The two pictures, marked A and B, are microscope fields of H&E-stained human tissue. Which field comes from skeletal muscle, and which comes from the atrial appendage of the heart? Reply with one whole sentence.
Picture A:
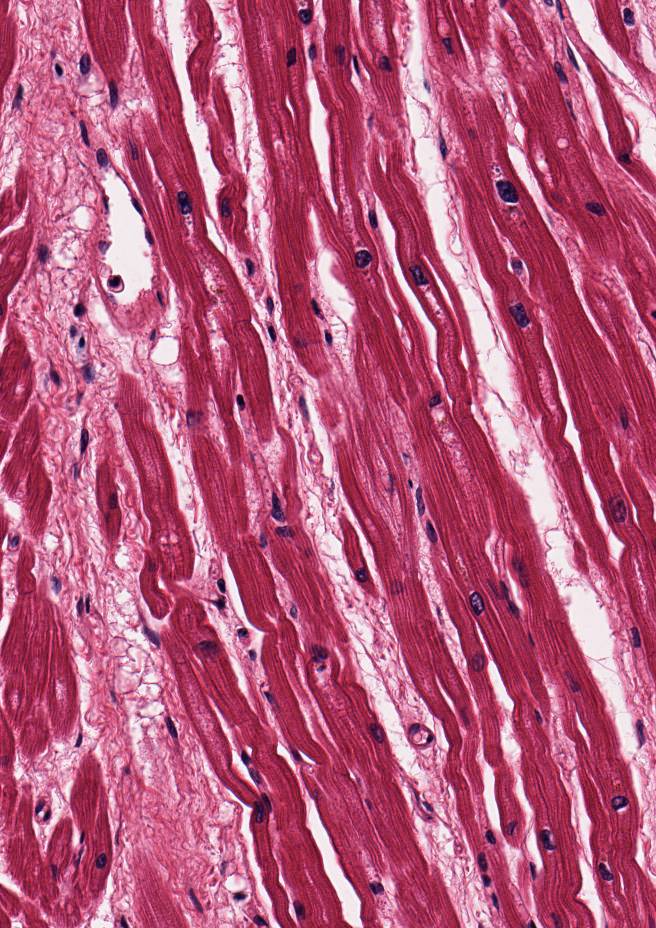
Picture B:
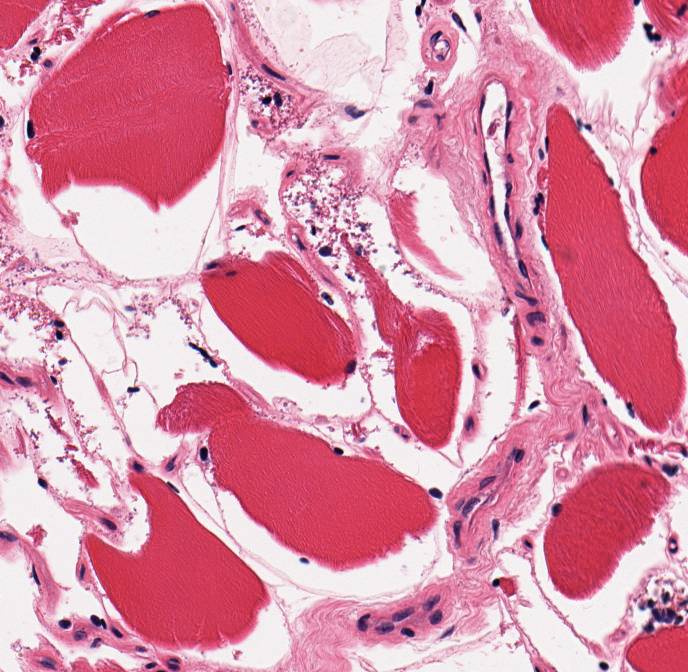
It is picture A that comes from the atrial appendage of the heart, and picture B that comes from skeletal muscle.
